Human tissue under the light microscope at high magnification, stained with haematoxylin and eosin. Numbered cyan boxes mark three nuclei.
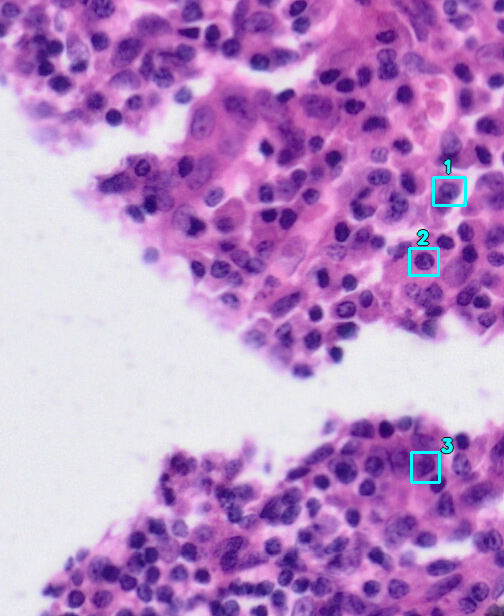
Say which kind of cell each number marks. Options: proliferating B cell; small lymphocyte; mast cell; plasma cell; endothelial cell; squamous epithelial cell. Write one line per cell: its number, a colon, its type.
1: plasma cell
2: plasma cell
3: squamous epithelial cell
